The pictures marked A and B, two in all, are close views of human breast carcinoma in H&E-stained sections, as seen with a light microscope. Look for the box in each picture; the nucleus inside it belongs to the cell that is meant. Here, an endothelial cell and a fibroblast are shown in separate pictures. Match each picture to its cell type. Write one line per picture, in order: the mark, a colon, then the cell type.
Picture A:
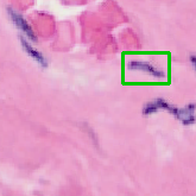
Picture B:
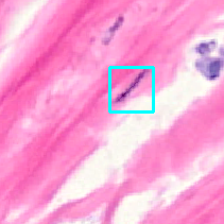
A: endothelial cell
B: fibroblast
